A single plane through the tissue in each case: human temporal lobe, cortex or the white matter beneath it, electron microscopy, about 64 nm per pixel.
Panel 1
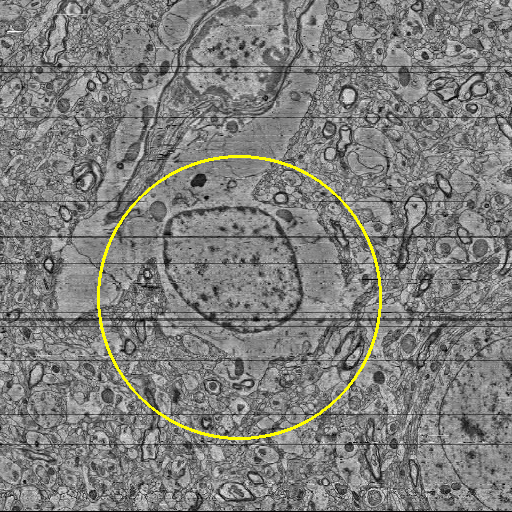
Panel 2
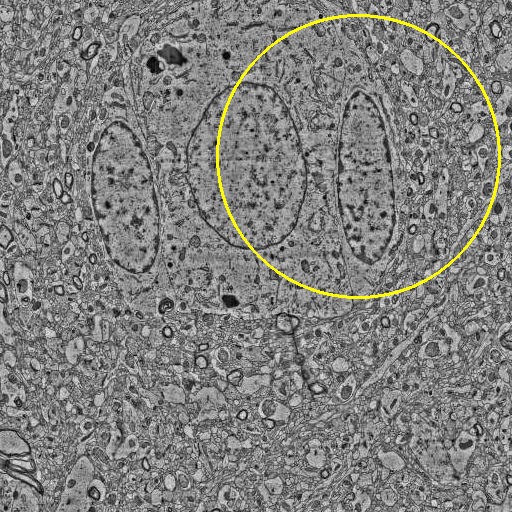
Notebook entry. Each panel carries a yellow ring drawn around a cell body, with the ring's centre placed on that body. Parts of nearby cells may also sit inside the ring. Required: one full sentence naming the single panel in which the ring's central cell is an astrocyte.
Panel 1 is the single one with the sought cell at its ring's centre.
